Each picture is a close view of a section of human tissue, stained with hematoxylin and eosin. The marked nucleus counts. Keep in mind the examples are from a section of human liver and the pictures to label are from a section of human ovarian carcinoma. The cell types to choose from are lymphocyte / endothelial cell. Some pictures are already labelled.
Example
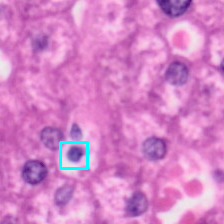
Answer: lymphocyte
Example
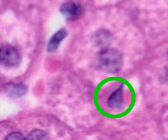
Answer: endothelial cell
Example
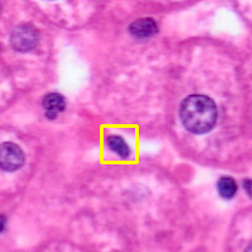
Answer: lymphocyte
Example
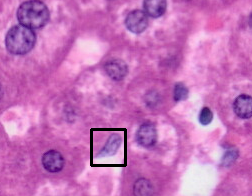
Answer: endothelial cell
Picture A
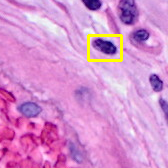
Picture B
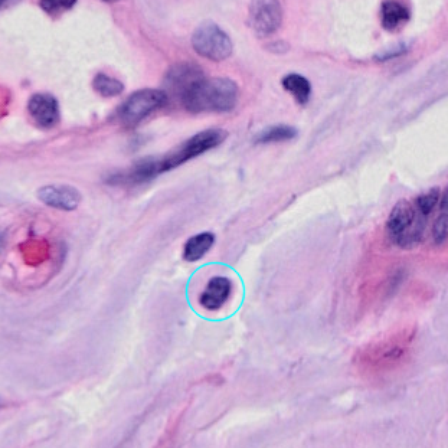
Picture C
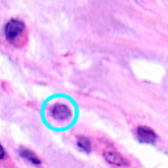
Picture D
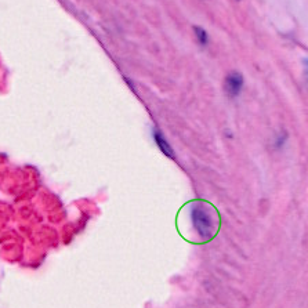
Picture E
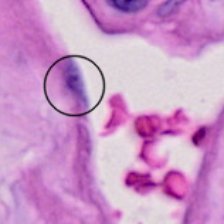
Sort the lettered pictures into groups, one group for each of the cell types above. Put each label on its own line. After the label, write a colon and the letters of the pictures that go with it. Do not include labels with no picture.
lymphocyte: A, B, C
endothelial cell: D, E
